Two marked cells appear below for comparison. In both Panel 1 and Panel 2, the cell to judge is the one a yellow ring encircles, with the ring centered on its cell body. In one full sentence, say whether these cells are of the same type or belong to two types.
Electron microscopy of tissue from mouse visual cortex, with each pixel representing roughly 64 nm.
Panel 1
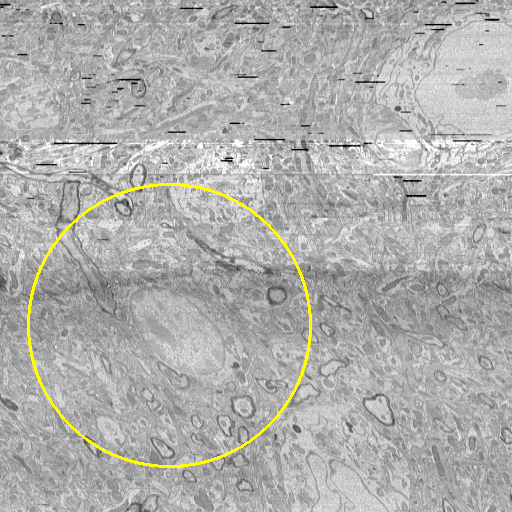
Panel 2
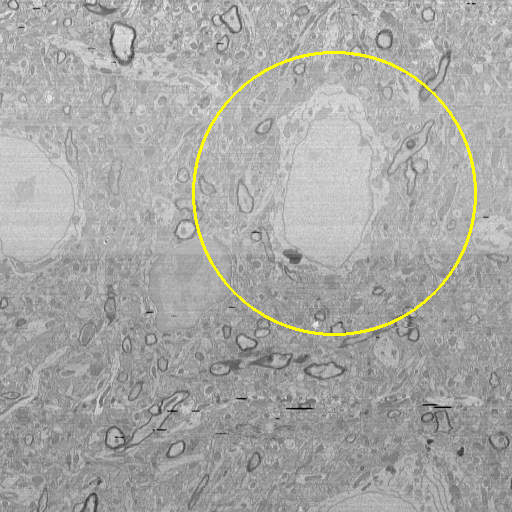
The cell centered in the Panel 1 ring and the one in Panel 2 belong to two types.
